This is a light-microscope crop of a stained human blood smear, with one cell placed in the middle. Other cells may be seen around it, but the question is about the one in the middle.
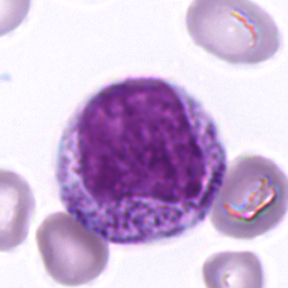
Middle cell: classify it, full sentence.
The cell at the heart of this crop is a myelocyte.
